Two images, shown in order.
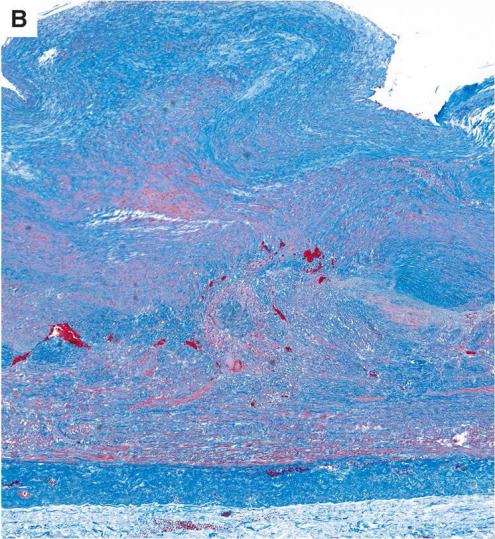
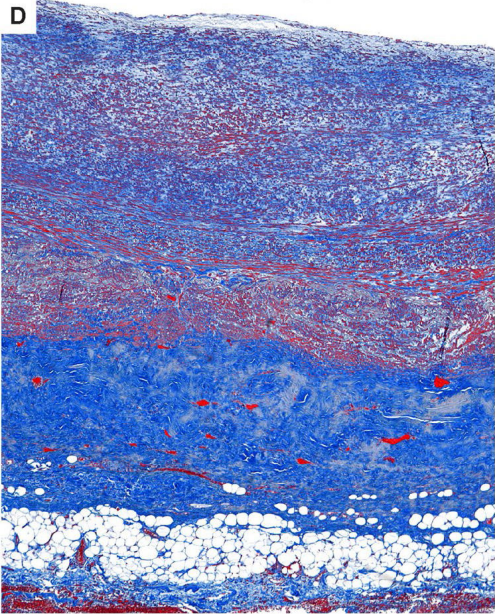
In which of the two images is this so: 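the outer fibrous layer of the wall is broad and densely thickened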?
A: the second image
